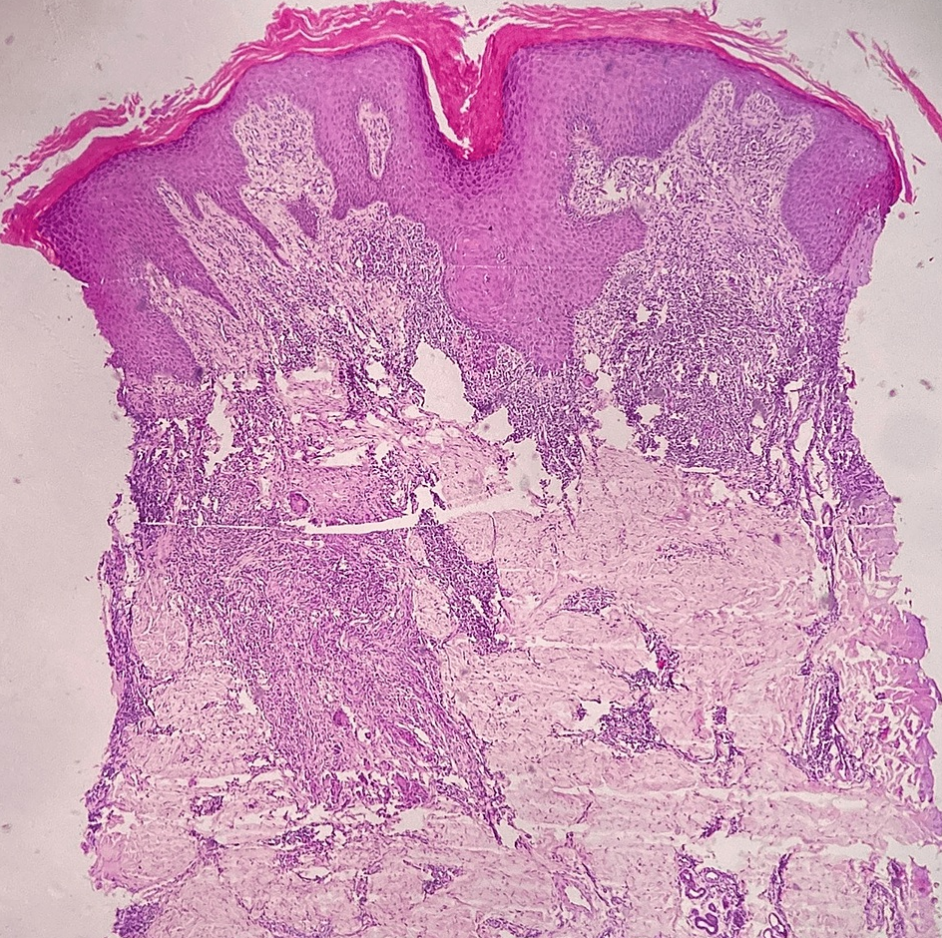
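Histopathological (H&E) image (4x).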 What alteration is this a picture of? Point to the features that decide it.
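Hyperkeratosis. A thick, bright pink layered keratin layer covers the epidermal surface. The keratin layer is thicker than the underlying granular zone.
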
